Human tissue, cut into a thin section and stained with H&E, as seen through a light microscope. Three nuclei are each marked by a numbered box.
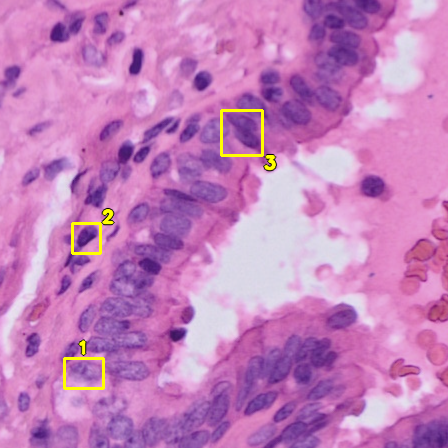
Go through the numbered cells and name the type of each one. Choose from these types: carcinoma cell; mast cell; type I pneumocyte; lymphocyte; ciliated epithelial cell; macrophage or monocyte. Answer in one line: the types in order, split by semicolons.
ciliated epithelial cell; lymphocyte; ciliated epithelial cell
